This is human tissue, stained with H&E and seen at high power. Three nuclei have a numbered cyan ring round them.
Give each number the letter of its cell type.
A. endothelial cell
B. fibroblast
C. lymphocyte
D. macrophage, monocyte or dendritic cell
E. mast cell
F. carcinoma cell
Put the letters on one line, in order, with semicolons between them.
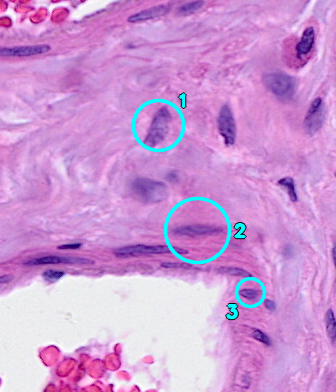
B; A; A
